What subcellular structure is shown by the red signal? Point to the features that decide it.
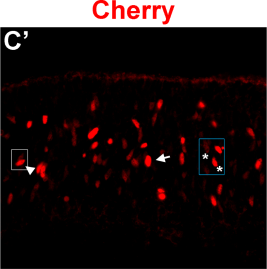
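Red objects are compact, oval and sharply bounded, the size of single nuclei. They are scattered through the depth of the tissue.
Answer: nuclei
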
